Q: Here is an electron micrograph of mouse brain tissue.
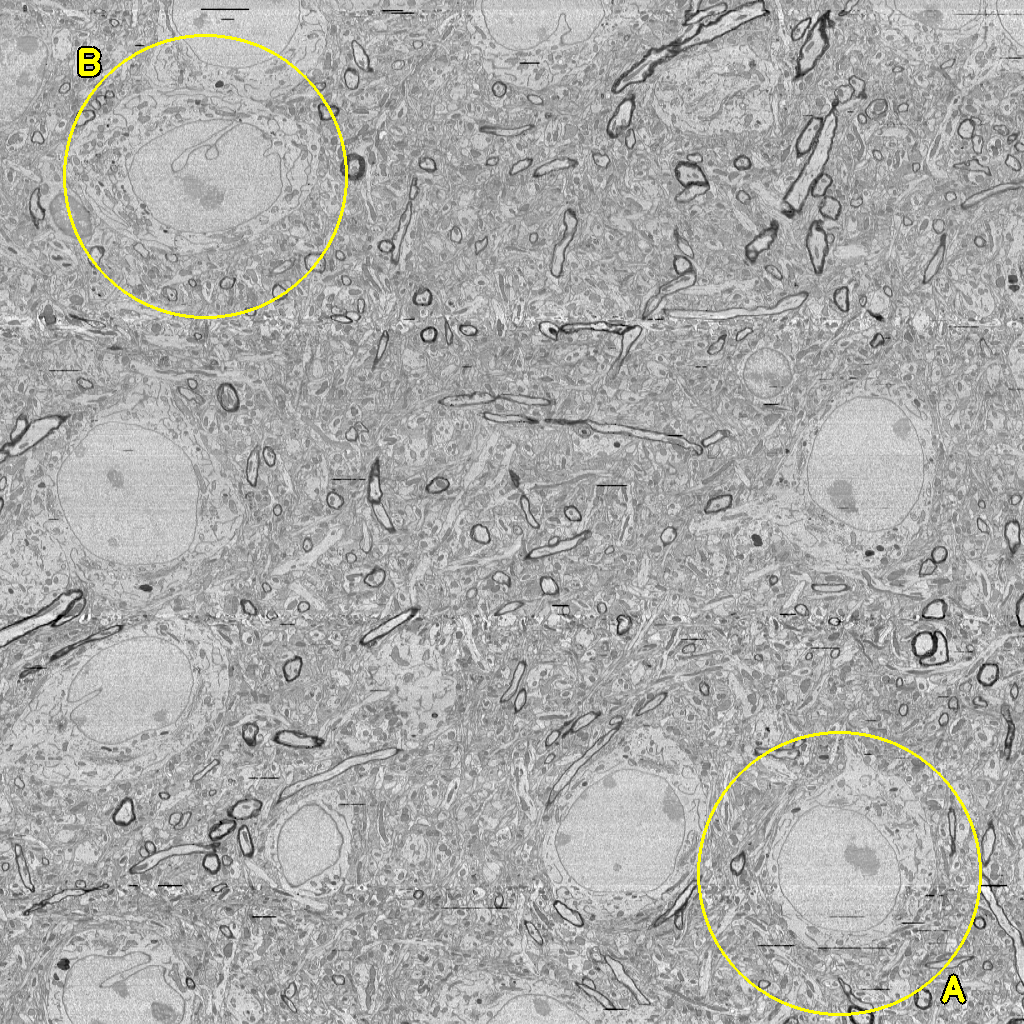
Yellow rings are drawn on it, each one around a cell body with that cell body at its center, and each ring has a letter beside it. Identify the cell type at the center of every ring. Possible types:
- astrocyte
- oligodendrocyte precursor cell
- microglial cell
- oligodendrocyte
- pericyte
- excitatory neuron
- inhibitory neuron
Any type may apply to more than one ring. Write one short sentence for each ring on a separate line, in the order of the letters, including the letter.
Centered in ring A is an excitatory neuron.
Centered in ring B is an inhibitory neuron.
